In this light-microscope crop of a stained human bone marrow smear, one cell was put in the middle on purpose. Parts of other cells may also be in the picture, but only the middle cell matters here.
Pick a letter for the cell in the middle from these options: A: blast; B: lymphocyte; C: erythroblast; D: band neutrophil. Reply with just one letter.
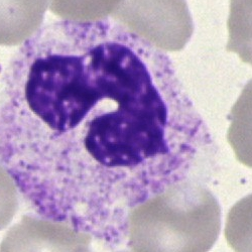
D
